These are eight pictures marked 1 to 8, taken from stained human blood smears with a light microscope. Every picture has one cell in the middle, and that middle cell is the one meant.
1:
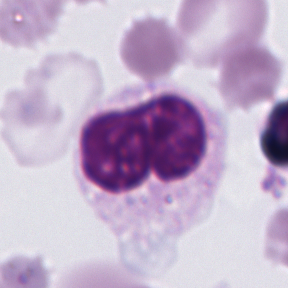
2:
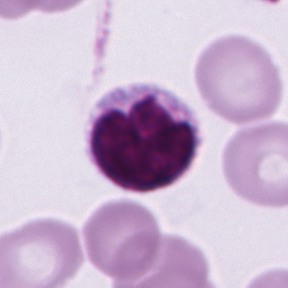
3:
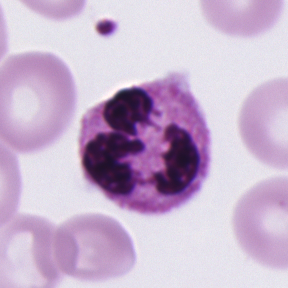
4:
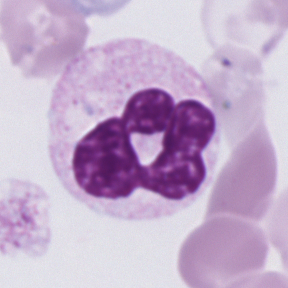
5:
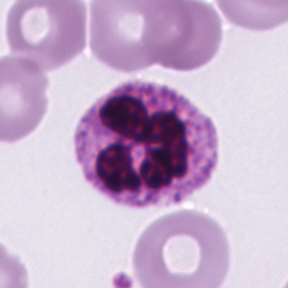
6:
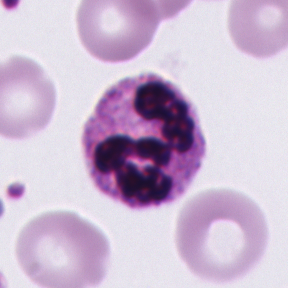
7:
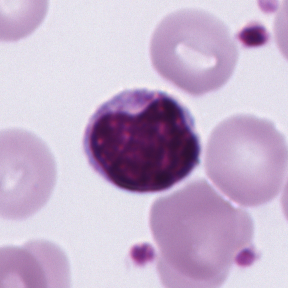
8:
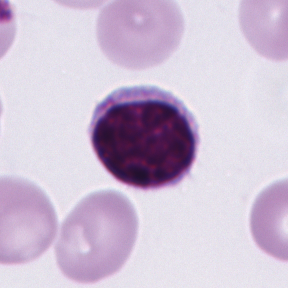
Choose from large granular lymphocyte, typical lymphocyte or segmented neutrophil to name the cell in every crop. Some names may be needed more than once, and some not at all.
1: segmented neutrophil
2: typical lymphocyte
3: segmented neutrophil
4: segmented neutrophil
5: segmented neutrophil
6: segmented neutrophil
7: large granular lymphocyte
8: large granular lymphocyte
